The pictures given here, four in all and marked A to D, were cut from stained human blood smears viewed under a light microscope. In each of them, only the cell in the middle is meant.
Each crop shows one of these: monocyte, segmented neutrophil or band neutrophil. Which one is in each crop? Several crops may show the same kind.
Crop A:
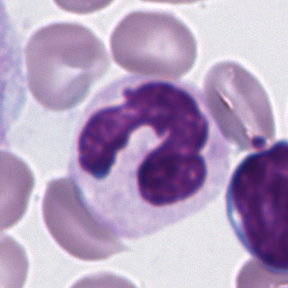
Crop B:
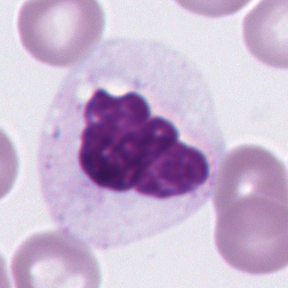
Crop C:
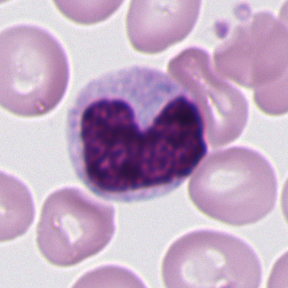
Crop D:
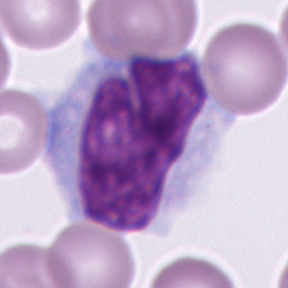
A: band neutrophil
B: segmented neutrophil
C: band neutrophil
D: monocyte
